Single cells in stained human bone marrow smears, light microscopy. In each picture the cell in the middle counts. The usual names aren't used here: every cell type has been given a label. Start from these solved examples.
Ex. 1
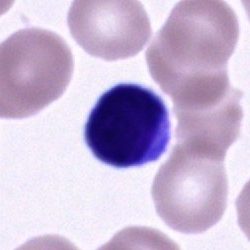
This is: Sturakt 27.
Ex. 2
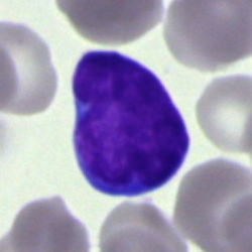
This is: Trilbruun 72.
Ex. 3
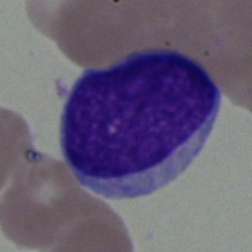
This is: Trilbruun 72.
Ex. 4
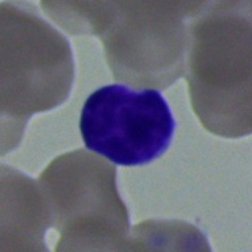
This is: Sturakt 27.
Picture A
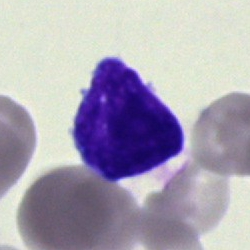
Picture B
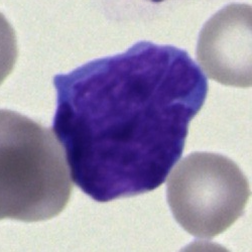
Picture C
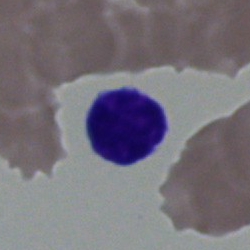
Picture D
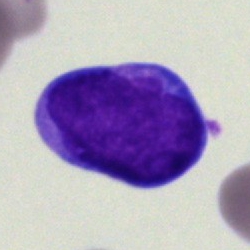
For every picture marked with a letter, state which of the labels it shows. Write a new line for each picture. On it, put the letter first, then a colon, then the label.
A: Sturakt 27.
B: Trilbruun 72.
C: Sturakt 27.
D: Trilbruun 72.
